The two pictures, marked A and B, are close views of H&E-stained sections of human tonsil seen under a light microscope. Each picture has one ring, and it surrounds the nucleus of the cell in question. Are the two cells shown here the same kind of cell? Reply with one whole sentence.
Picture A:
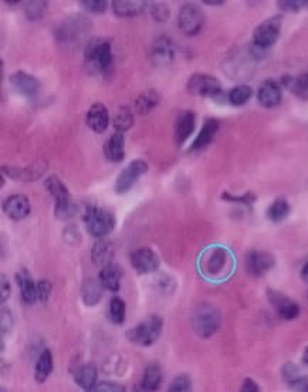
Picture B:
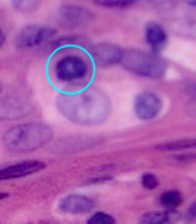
No, picture A shows a mast cell and picture B shows a plasma cell.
